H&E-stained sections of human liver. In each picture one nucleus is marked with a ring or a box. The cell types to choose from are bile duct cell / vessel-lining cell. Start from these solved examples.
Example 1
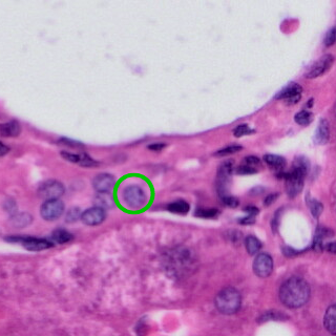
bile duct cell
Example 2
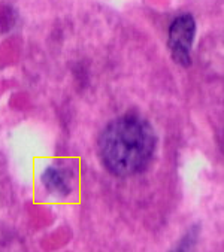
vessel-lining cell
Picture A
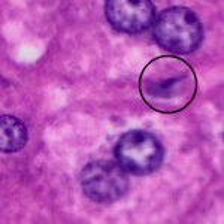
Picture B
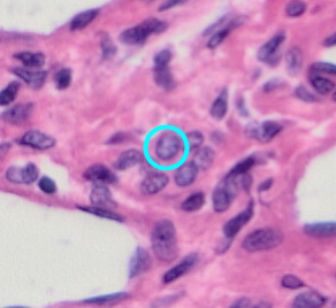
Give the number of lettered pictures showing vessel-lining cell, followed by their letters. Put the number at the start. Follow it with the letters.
1, namely A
